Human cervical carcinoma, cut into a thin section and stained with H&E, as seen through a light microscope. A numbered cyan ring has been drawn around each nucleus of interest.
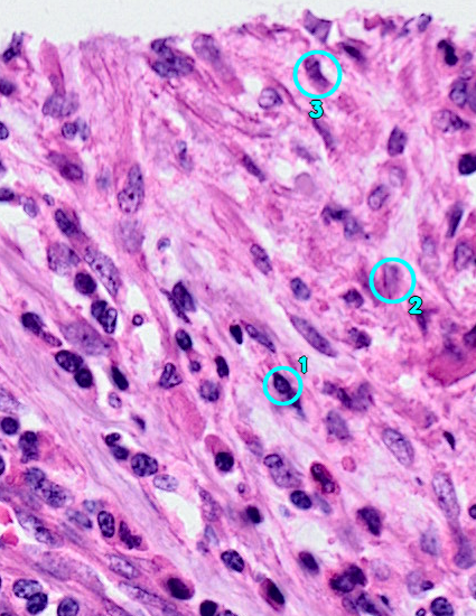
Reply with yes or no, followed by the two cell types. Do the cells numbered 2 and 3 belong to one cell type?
Yes, regarding cells 2 and 3, both are fibroblasts.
